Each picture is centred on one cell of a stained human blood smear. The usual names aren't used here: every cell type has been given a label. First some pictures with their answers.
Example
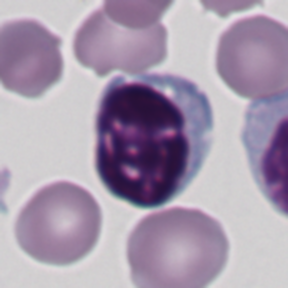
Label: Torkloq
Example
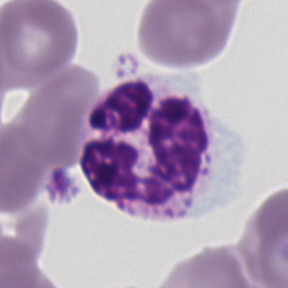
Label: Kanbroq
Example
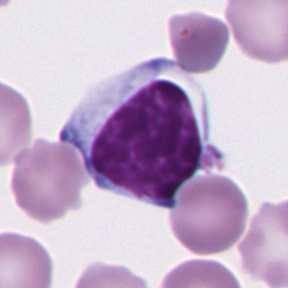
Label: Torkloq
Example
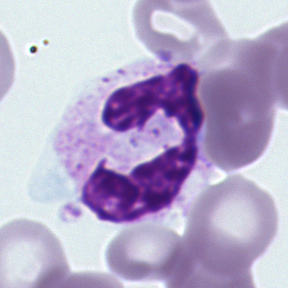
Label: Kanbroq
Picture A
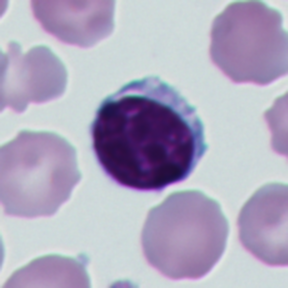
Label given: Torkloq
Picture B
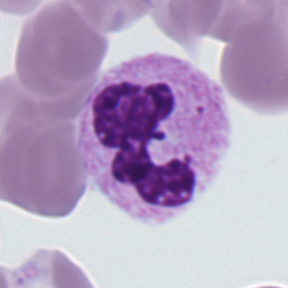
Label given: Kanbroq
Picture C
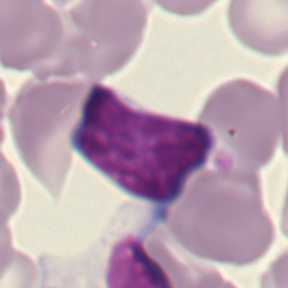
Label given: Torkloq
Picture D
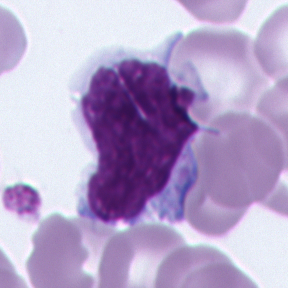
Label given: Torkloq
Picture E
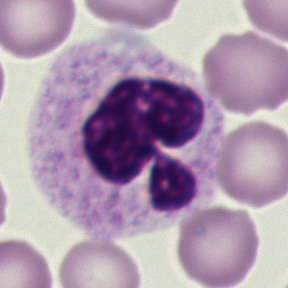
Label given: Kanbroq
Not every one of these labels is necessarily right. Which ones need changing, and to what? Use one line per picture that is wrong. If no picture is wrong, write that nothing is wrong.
Nothing to fix; every label fits.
